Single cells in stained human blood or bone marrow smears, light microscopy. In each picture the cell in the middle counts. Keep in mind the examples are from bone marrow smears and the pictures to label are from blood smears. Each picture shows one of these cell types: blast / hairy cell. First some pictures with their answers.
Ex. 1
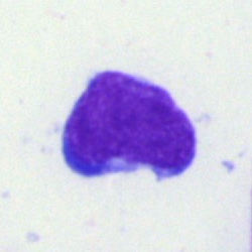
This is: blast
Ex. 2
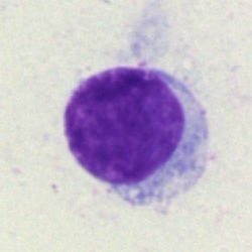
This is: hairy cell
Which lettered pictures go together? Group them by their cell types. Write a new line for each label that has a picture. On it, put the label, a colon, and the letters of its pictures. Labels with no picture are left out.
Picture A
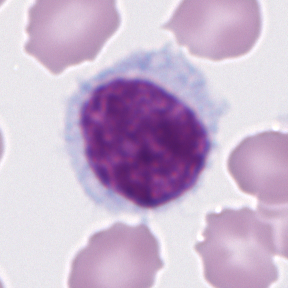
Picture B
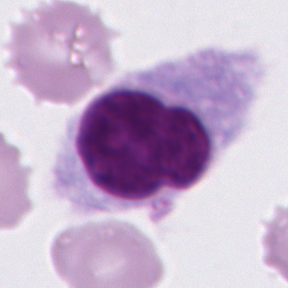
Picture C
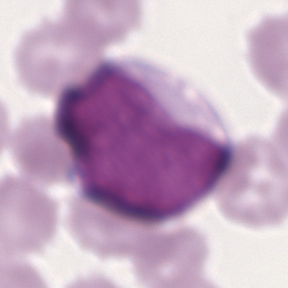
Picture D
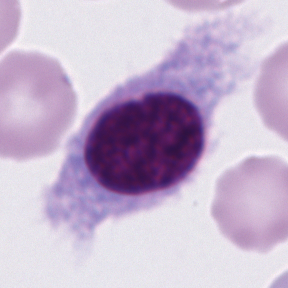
blast: C
hairy cell: A, B, D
